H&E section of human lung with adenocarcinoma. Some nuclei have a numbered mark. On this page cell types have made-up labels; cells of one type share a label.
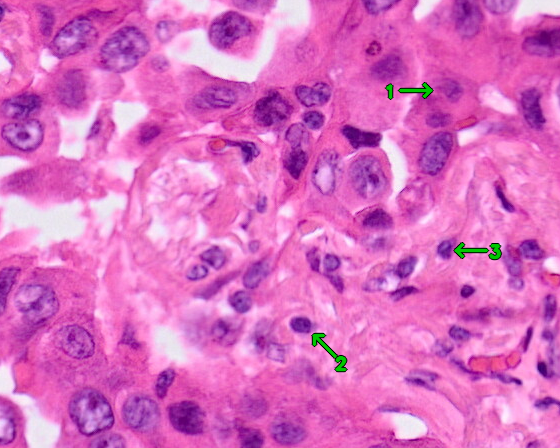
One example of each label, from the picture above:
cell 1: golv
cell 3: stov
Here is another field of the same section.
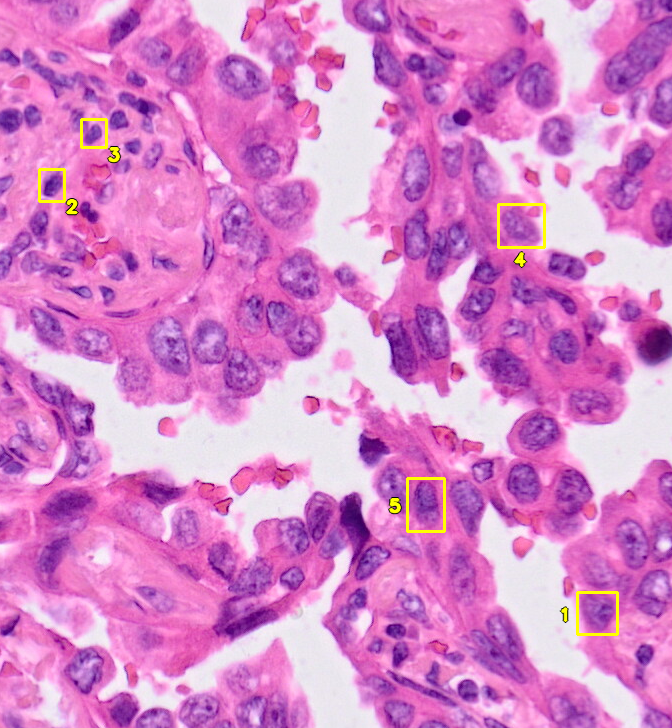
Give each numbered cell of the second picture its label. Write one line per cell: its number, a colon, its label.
1: golv
2: stov
3: stov
4: golv
5: golv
